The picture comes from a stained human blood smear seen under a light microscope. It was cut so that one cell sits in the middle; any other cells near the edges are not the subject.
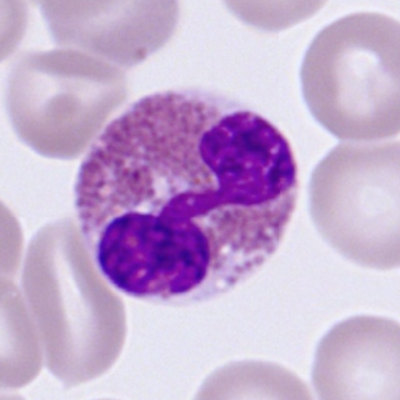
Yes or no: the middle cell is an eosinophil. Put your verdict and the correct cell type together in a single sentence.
Yes, the cell in the middle is recognised as an eosinophil.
